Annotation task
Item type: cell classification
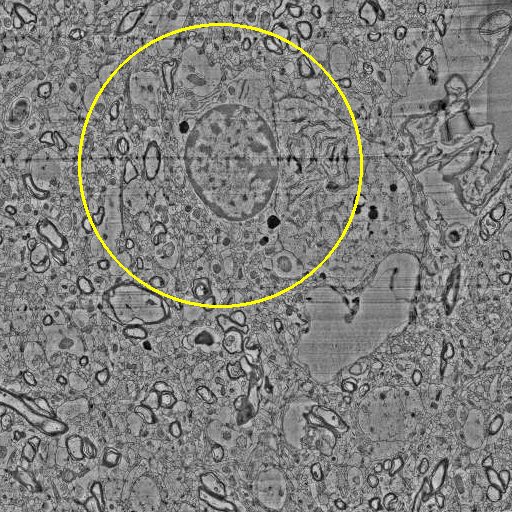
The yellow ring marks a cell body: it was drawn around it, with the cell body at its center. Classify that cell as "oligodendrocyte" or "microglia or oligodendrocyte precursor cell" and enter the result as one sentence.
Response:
The ring's center falls on a microglial cell or oligodendrocyte precursor cell.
